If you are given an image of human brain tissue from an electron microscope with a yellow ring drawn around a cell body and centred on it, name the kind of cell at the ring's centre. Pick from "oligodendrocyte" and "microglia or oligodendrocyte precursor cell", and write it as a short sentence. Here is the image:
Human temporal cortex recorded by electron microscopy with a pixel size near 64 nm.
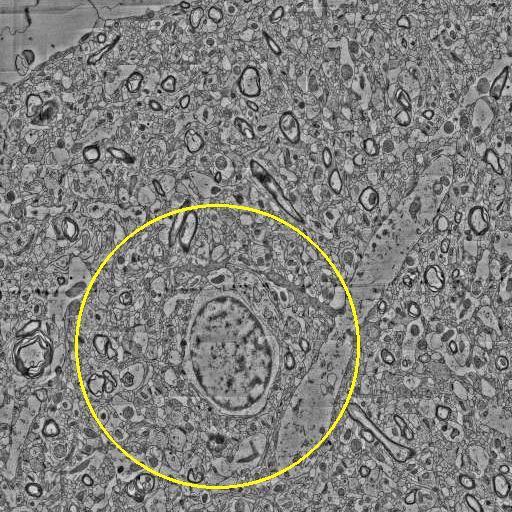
The cell at the ring's centre is a microglial cell or oligodendrocyte precursor cell.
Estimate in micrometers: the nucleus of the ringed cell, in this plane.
The nucleus works out at approximately 7 by 6 micrometres in this plane.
